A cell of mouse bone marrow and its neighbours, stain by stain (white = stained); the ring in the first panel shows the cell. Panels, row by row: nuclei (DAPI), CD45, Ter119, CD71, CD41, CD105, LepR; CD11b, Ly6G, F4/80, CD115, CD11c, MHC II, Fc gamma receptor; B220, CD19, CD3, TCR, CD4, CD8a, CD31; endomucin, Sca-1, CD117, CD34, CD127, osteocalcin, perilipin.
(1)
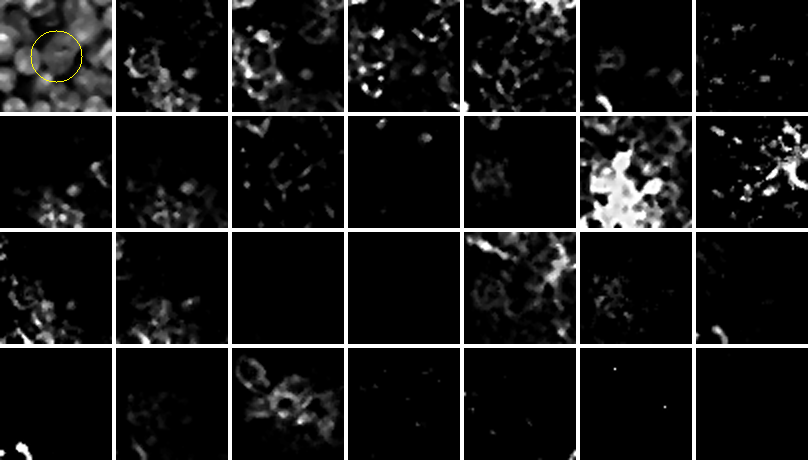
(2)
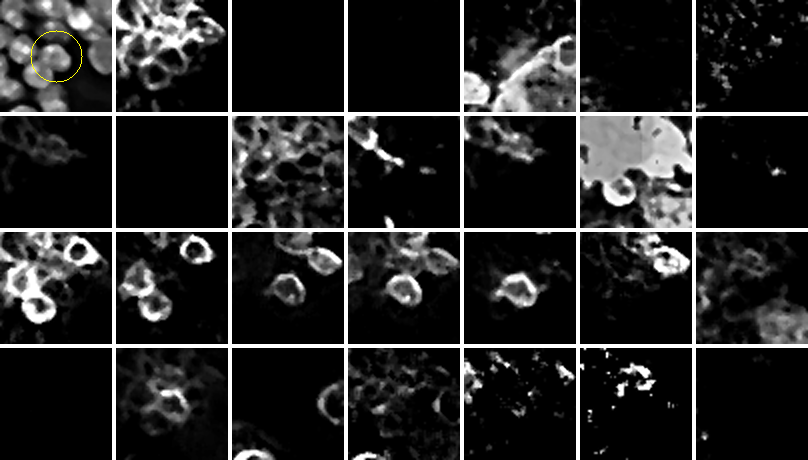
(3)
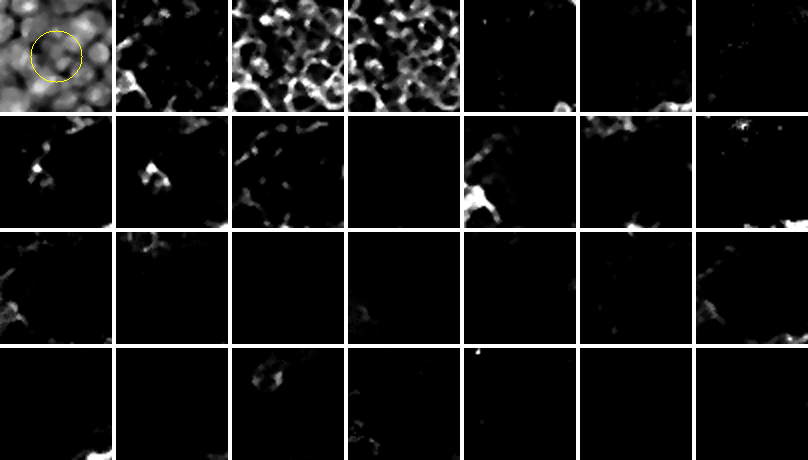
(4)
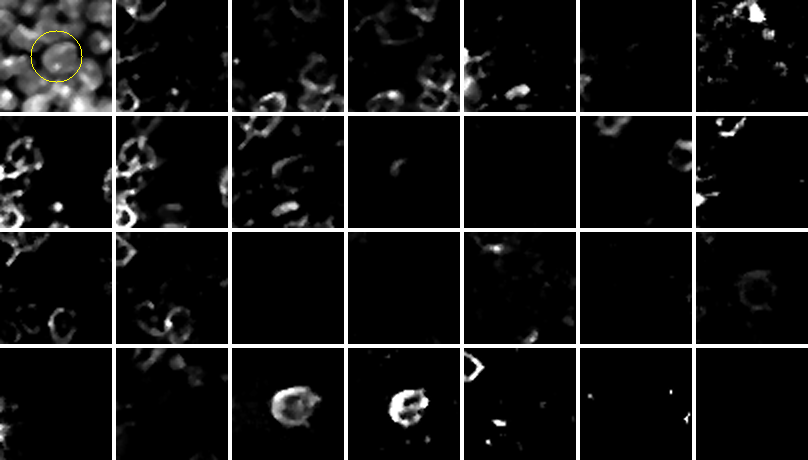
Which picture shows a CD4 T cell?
Picture 2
